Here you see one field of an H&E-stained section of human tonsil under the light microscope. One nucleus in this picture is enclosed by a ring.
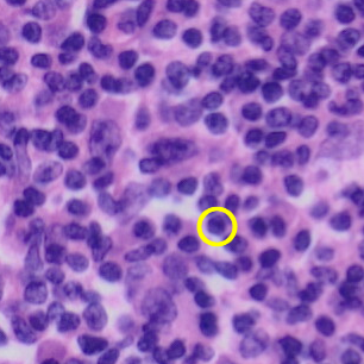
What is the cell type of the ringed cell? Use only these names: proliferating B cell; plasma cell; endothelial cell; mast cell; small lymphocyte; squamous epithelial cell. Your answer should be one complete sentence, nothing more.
As for its identity, the ringed cell is a small lymphocyte.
